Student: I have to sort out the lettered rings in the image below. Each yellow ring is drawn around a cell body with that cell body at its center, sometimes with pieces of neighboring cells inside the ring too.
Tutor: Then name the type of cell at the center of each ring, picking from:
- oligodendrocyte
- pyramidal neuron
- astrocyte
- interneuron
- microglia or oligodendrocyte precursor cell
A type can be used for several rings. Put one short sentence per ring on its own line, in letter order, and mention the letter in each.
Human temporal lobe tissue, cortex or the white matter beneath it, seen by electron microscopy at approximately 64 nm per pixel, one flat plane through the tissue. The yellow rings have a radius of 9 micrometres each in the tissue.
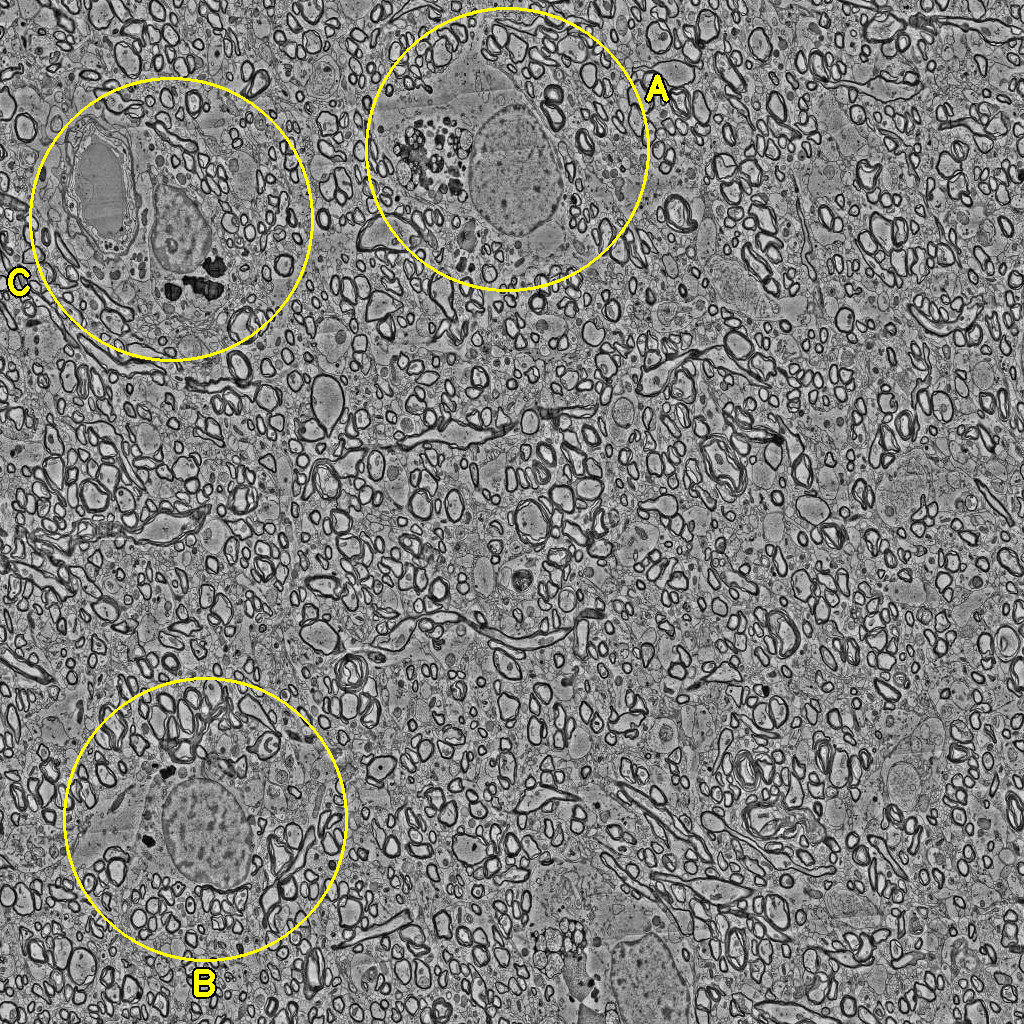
Inside ring A, at its center, is an astrocyte.
Inside ring B, at its center, is an oligodendrocyte.
Inside ring C, at its center, is an oligodendrocyte.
